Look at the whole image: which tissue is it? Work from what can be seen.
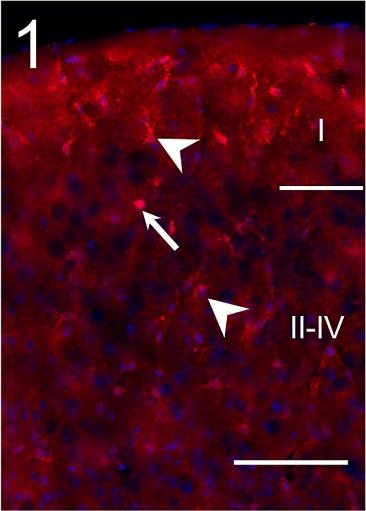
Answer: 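A pial surface lies at the top with a cell-sparse superficial layer beneath. Scattered nuclei and labelled cells fill the deeper layers. The answer: cortex.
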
